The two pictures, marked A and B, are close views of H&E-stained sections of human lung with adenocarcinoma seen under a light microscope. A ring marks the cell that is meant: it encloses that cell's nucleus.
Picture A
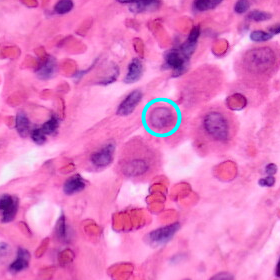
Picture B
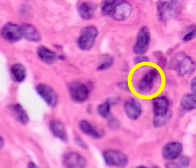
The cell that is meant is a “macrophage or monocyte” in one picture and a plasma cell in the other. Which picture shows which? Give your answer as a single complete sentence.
The cell in picture A is a “macrophage or monocyte”, and the one in picture B is a plasma cell.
